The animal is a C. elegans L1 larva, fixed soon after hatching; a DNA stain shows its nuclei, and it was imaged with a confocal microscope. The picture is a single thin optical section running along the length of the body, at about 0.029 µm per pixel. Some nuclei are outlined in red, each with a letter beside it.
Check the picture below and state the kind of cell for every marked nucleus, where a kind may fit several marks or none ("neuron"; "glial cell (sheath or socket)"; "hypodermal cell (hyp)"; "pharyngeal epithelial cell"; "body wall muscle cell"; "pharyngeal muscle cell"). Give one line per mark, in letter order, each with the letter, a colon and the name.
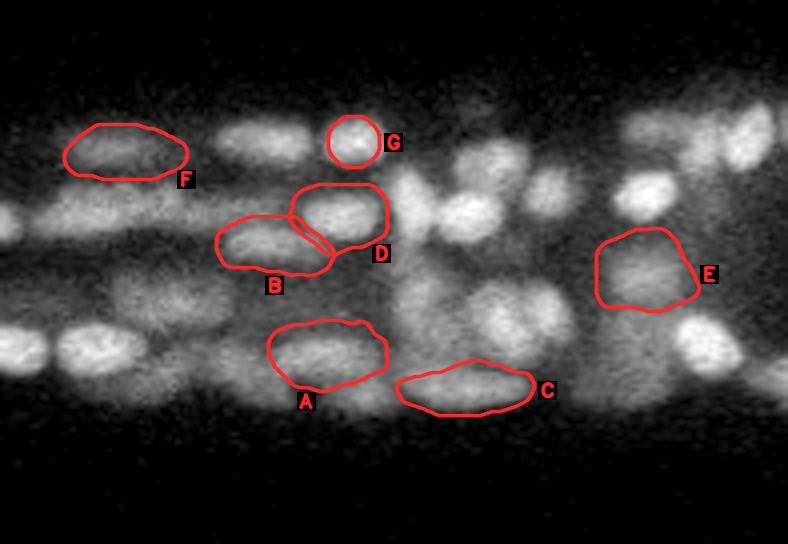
A: glial cell (sheath or socket)
B: pharyngeal muscle cell
C: hypodermal cell (hyp)
D: neuron
E: neuron
F: body wall muscle cell
G: body wall muscle cell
